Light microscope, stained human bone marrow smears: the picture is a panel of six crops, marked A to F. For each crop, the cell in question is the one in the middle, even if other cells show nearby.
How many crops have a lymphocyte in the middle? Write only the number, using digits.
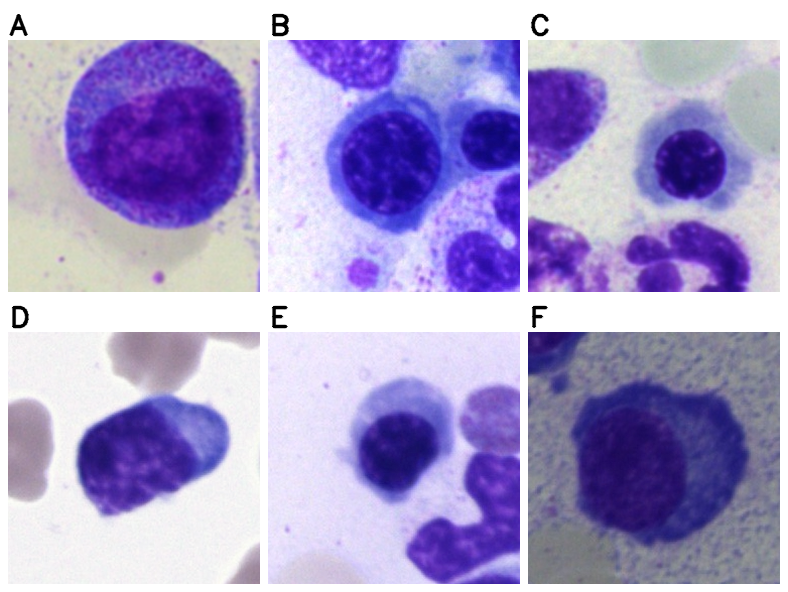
0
